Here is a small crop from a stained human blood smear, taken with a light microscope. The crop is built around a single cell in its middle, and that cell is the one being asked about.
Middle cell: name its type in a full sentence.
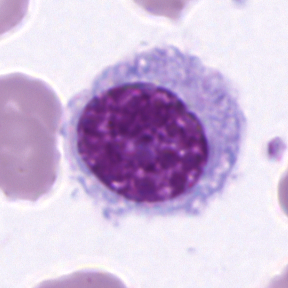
At the crop's centre, the cell is a plasma cell.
